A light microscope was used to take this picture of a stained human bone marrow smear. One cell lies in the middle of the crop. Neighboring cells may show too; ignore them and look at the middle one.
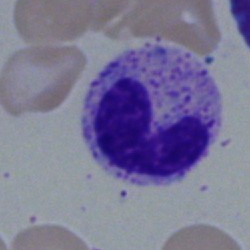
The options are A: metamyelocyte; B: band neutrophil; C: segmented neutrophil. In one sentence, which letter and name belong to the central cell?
Option B is correct in naming the middle cell a band neutrophil.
